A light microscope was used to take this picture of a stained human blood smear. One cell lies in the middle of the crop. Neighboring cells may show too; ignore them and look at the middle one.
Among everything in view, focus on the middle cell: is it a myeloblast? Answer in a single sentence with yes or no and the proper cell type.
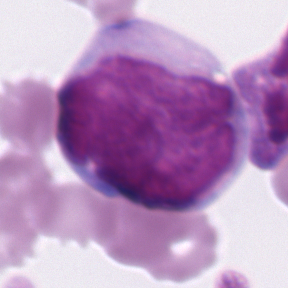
Yes, the cell occupying the middle of the crop is a myeloblast.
